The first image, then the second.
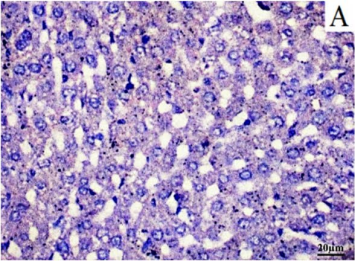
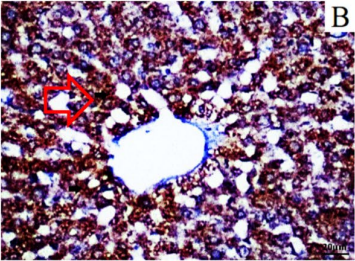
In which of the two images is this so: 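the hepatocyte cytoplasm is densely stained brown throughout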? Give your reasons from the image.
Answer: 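The second image. Second image: hepatocyte cords are filled with dark brown deposit across the field. First image: hepatocytes are pale lilac with blue nuclei and hardly any brown.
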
